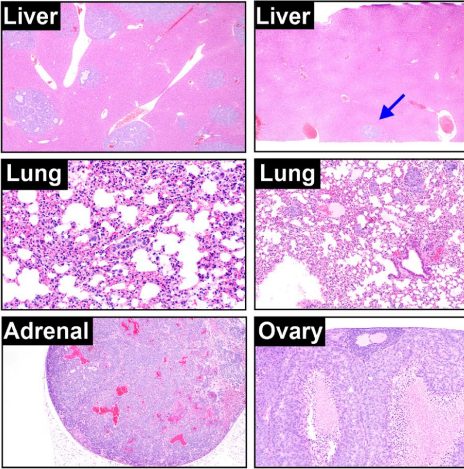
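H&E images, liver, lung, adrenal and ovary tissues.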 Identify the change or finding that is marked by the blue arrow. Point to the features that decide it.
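The blue arrow points to a small, round, purple-blue focus within pink liver tissue. The focus is more basophilic and more densely cellular than the surrounding liver parenchyma.
Answer: tumor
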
